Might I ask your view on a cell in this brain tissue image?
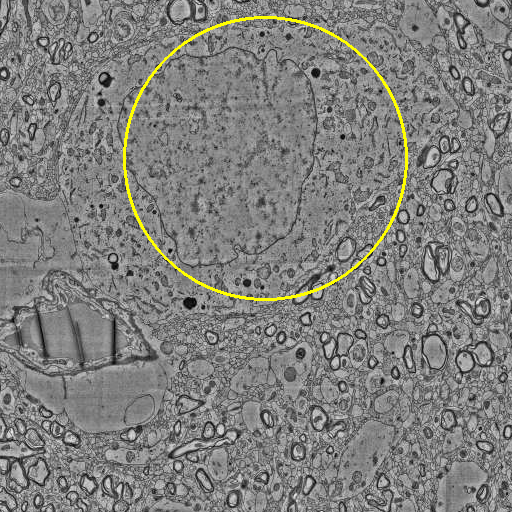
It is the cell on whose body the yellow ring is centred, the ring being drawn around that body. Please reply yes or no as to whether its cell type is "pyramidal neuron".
yes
